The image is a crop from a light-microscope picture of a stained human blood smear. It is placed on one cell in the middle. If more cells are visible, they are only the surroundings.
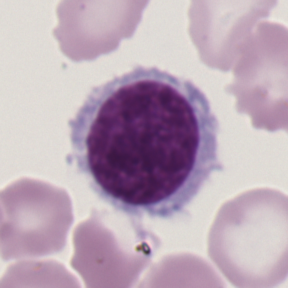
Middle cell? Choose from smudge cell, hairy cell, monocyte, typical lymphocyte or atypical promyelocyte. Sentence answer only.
The centrally located cell in the crop is a hairy cell.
